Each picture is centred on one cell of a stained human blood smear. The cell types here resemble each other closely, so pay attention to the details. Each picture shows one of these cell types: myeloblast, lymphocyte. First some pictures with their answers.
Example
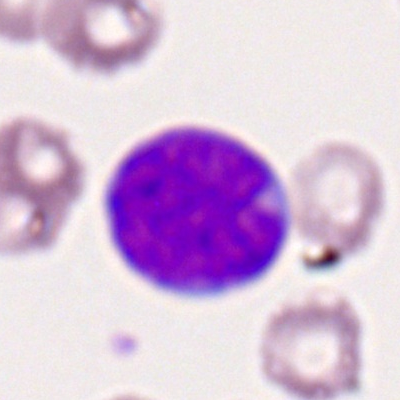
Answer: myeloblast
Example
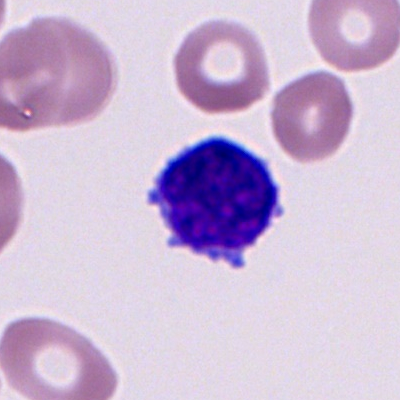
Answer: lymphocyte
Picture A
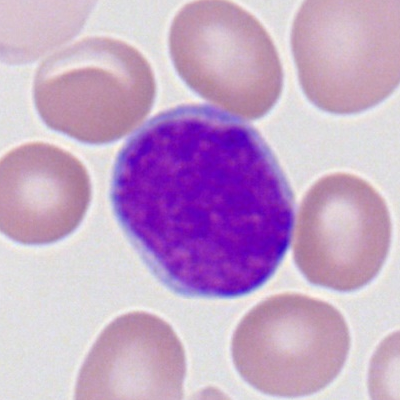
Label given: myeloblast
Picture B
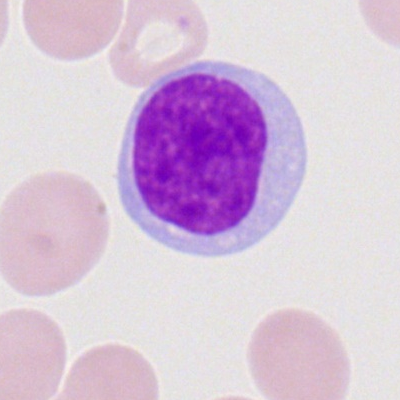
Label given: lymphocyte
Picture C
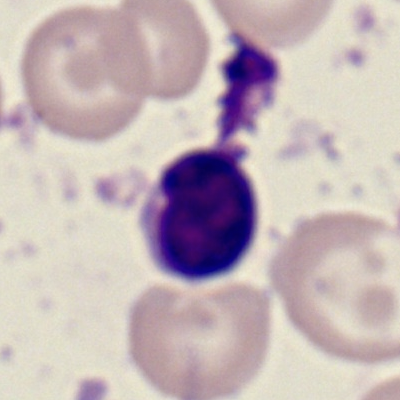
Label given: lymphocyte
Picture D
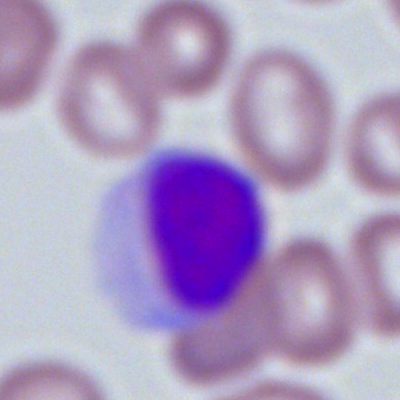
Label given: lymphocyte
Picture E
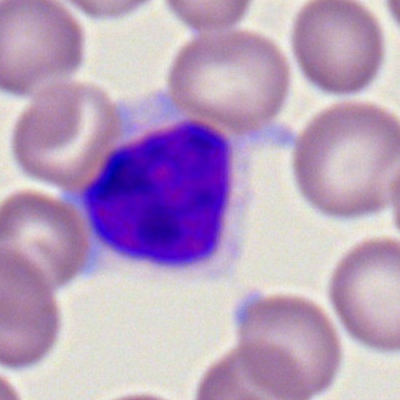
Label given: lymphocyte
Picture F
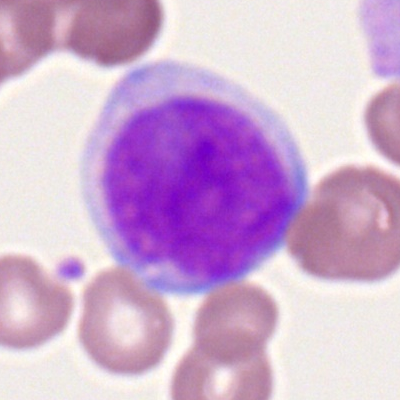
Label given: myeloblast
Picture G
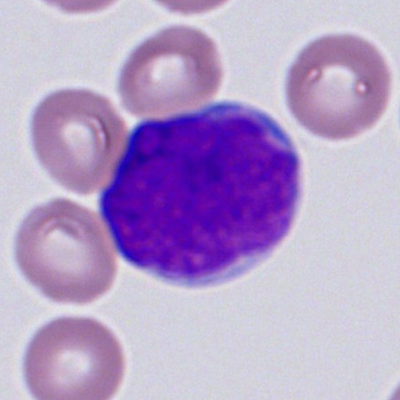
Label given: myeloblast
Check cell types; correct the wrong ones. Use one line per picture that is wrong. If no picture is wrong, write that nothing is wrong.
All correct.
